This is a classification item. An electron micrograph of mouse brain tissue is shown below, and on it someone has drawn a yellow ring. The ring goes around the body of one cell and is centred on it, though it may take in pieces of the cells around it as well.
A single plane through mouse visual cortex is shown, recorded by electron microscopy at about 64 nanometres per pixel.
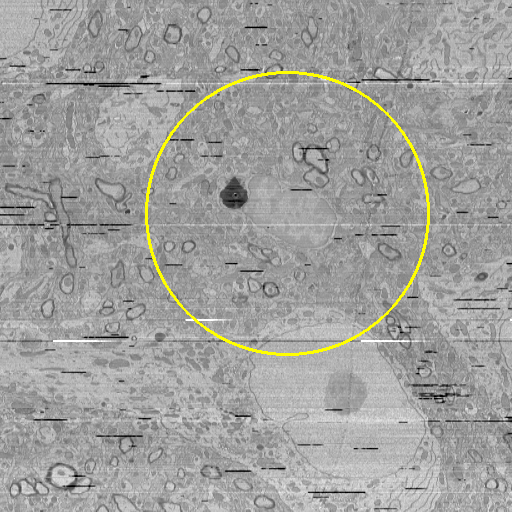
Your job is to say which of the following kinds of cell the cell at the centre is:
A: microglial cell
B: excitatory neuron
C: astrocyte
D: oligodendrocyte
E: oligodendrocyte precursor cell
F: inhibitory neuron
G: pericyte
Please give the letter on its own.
A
